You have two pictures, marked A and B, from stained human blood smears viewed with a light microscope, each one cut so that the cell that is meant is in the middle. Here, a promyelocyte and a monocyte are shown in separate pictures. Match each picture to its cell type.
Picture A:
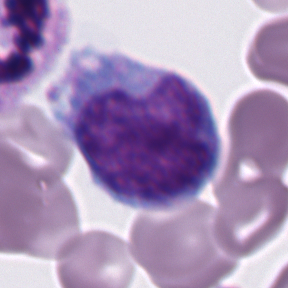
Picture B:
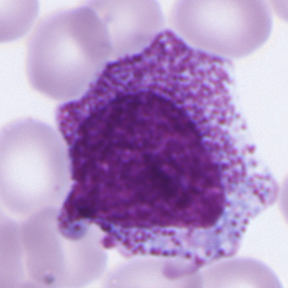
A: monocyte
B: promyelocyte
